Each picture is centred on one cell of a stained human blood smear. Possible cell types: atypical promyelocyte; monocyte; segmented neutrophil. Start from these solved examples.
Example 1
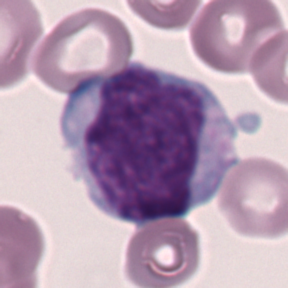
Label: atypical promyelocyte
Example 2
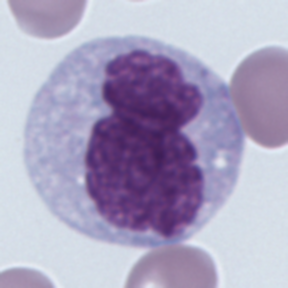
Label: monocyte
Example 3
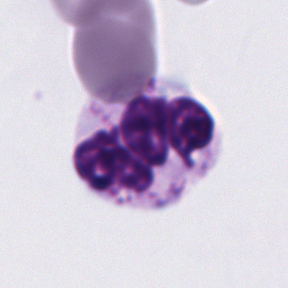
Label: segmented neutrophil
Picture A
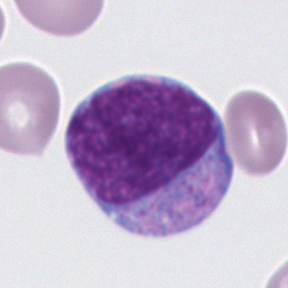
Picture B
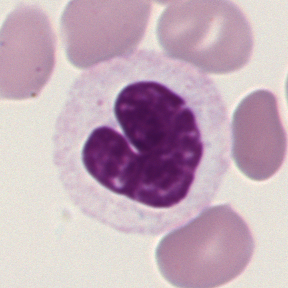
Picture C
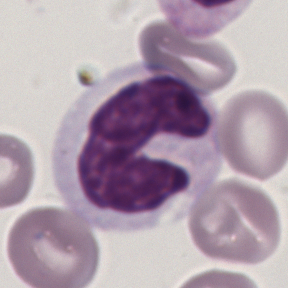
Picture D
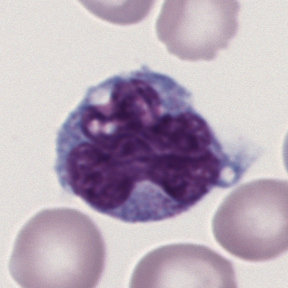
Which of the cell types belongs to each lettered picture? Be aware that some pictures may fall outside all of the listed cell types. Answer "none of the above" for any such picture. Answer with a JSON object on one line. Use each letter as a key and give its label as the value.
{"A": "atypical promyelocyte", "B": "none of the above", "C": "none of the above", "D": "monocyte"}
